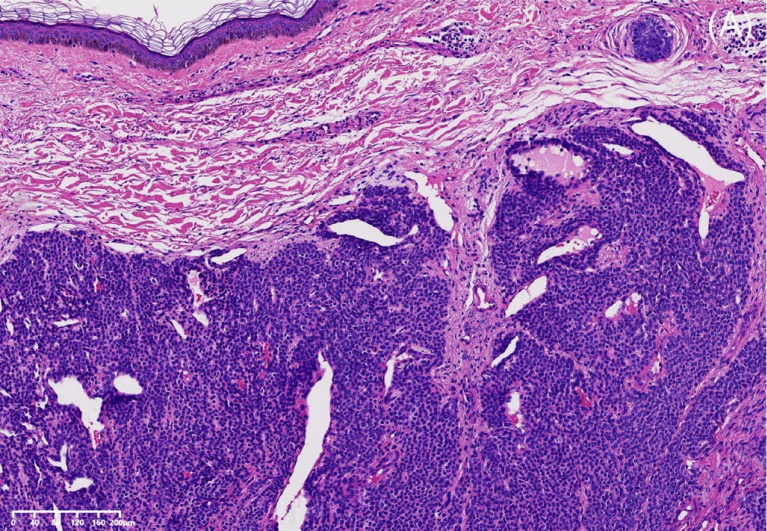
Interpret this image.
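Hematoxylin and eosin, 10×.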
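At low power, a dense, deeply purple sheet of small round glomus cells fills the lower part of the field beneath skin, whose thin epidermis and pink, loose dermal collagen run across the top. The cellular mass is broken into lobules by thin fibrous septa and is riddled with many small, open, slit-like or branching vessels, giving it a prominent vascular pattern. The cells look monotonous, their nuclei small and alike, packed tightly around the vessel spaces. A small adnexal structure is cut in the dermis above the lesion.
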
